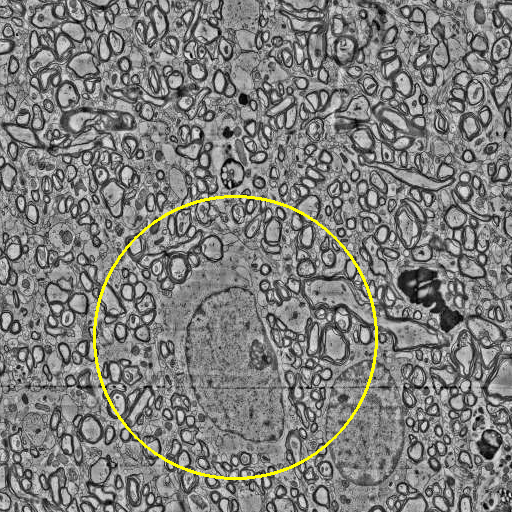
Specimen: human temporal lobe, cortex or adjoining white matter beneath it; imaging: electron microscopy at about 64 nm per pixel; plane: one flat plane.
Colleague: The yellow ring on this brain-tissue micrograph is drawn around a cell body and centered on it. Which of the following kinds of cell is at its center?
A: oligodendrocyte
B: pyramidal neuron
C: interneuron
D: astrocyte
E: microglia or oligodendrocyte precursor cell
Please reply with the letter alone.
D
